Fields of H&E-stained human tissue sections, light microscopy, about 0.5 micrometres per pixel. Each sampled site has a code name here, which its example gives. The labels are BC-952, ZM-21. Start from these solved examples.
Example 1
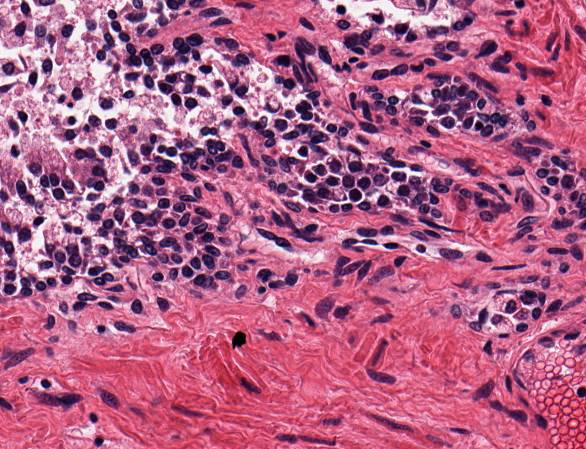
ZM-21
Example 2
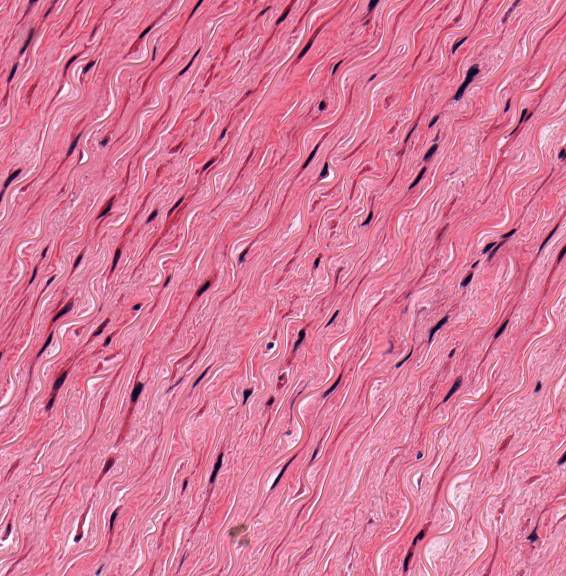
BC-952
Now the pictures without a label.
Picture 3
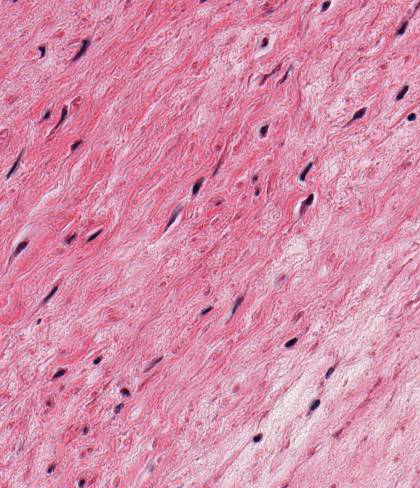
BC-952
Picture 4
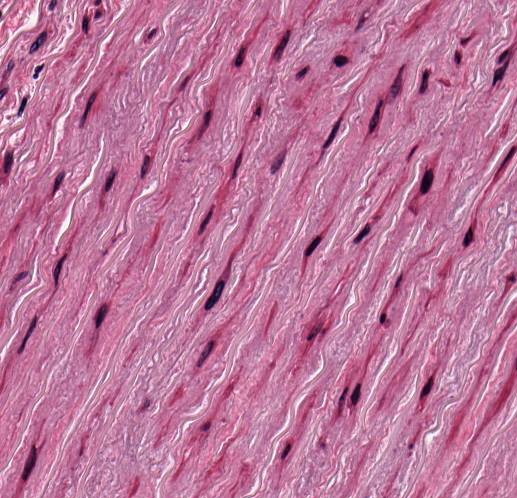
BC-952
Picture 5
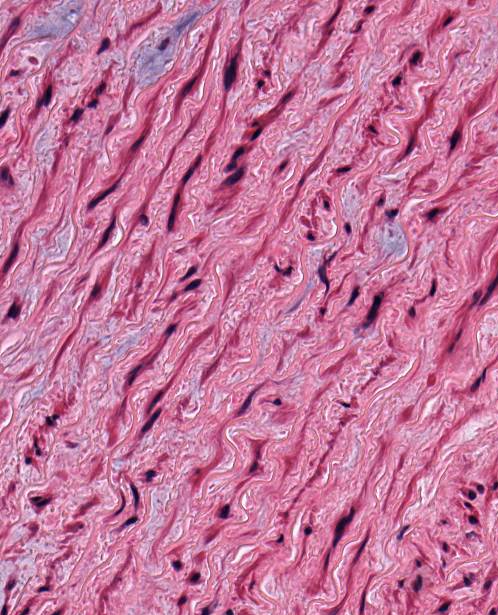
BC-952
